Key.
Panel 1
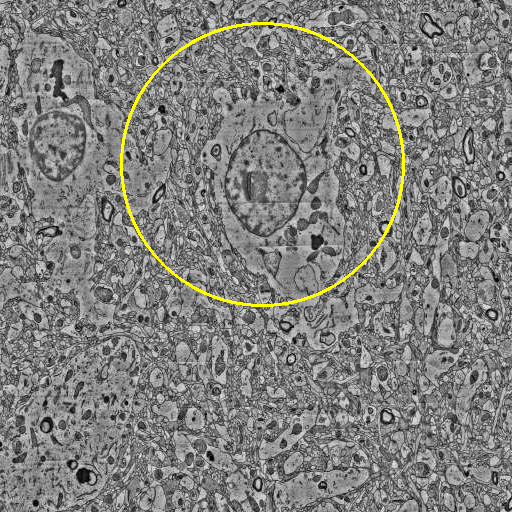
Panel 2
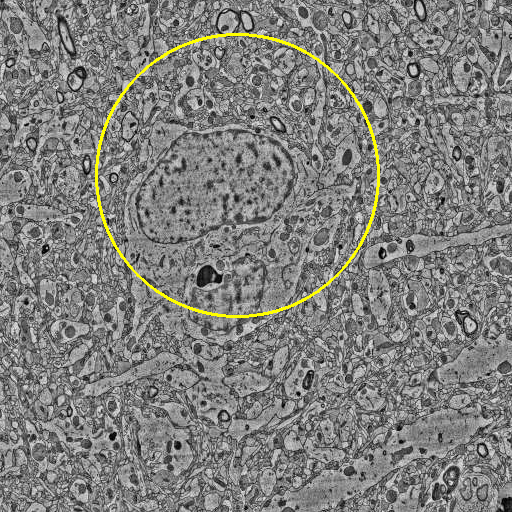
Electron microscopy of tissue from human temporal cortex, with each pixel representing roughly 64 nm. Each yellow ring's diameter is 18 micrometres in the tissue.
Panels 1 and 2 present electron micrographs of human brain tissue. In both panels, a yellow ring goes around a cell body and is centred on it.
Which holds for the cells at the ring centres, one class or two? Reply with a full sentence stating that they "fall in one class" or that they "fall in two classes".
Taken together, the ring-centre cells of the two panels fall in two classes.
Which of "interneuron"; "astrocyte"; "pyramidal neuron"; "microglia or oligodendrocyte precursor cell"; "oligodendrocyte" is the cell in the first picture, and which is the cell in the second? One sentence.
The two differ: the first cell is an astrocyte and the second is a microglial cell or oligodendrocyte precursor cell.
